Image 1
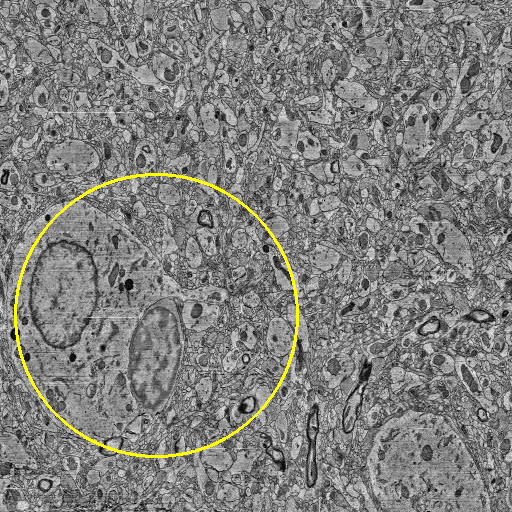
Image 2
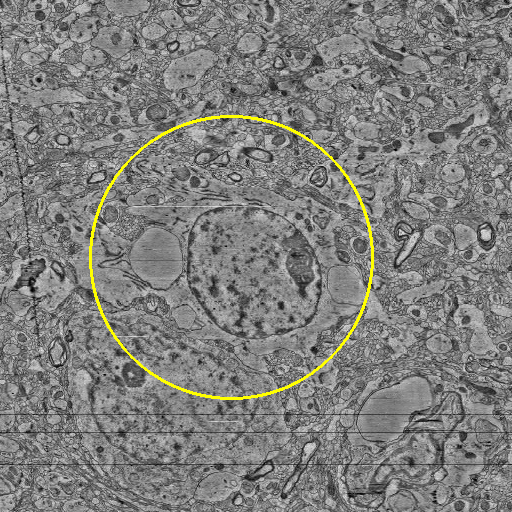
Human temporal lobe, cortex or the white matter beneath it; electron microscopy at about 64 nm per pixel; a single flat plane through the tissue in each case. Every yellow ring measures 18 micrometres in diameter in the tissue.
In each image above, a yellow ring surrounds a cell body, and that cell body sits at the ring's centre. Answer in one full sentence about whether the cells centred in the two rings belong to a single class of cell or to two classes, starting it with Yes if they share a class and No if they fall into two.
No, the cells centred in the two yellow rings belong to two classes of cell.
